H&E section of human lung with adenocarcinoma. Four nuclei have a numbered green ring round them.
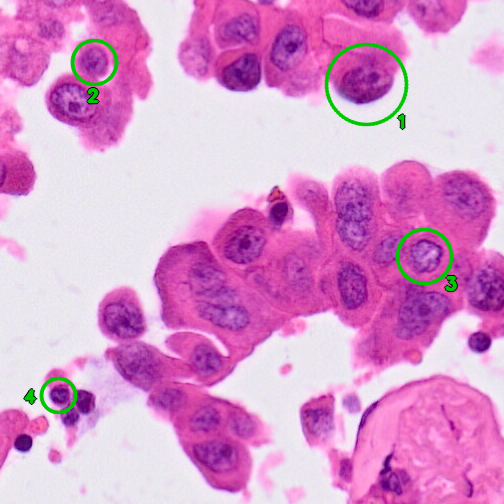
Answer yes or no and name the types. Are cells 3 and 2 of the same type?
Yes, both are carcinoma cells.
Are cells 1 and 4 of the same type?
No, cell 1 is a carcinoma cell and cell 4 is a lymphocyte.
